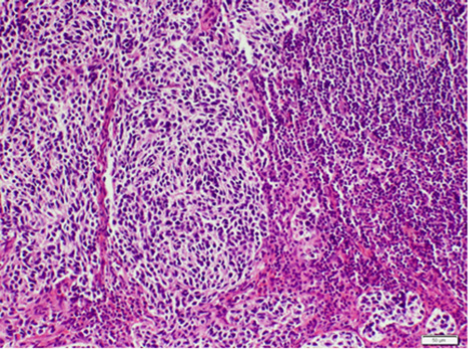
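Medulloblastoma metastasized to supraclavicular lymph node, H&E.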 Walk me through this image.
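This section shows densely packed, high-grade blue tumor cells forming solid sheets and rounded nodules. The nuclei are oval to elongated, hyperchromatic and crowded, with only scant pale cytoplasm between them. Thin bands of pink fibrous tissue run between the nodules and partly outline them. Toward one side, the cells are smaller, rounder and darker, making a denser, more deeply blue area.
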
